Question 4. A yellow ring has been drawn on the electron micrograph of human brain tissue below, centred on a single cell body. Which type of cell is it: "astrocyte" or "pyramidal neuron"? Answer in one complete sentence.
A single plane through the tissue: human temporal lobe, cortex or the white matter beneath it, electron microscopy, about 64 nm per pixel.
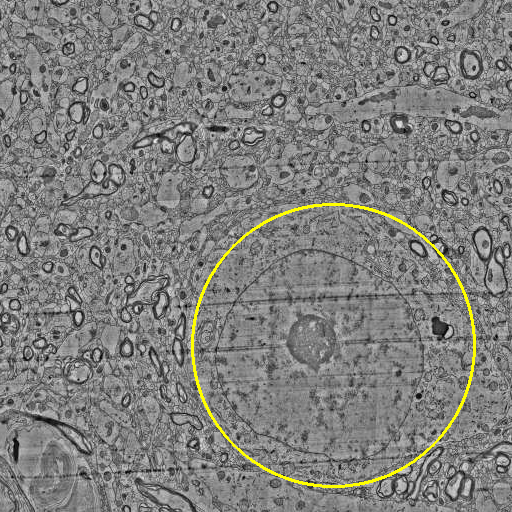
This cell body belongs to a pyramidal neuron.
